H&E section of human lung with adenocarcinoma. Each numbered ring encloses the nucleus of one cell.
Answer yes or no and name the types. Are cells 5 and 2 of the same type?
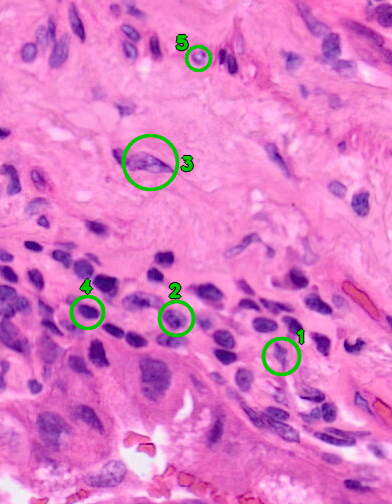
No, cell 5 is a smooth muscle cell or pericyte; cell 2, by contrast, is a lymphocyte.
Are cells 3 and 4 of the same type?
No, rather, cell 3 is a fibroblast and cell 4 is a lymphocyte.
